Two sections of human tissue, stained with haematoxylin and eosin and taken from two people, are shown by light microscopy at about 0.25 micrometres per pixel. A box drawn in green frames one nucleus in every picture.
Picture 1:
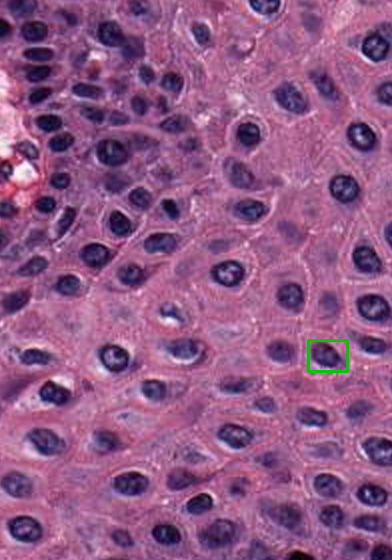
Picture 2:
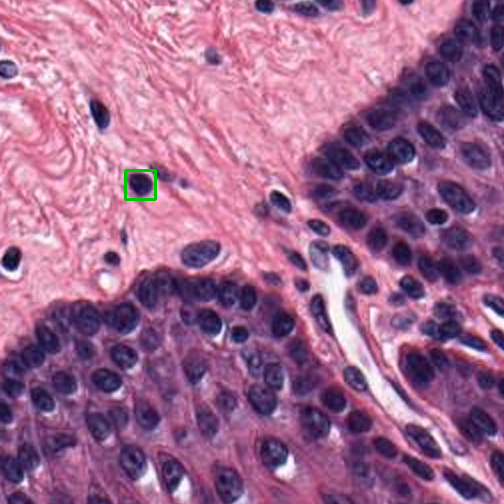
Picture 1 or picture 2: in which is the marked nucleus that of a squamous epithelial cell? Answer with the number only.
1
